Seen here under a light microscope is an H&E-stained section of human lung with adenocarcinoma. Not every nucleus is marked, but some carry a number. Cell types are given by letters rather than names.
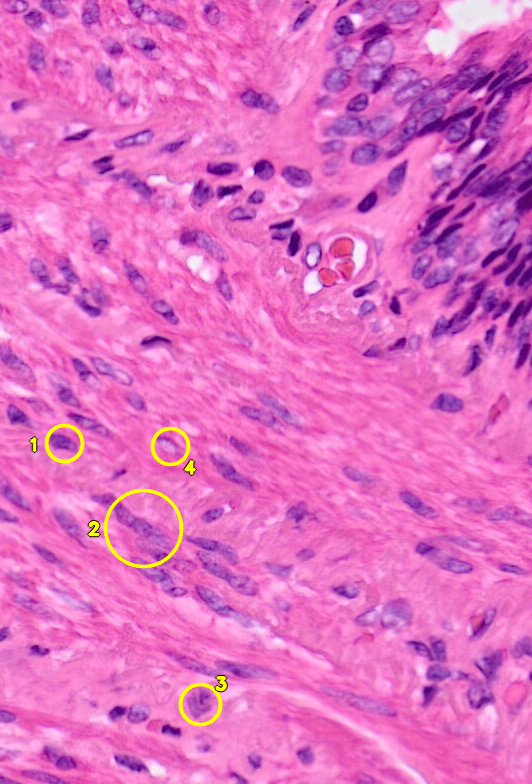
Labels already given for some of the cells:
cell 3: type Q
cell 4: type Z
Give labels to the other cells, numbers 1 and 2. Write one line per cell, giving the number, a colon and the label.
1: type Z
2: type Z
